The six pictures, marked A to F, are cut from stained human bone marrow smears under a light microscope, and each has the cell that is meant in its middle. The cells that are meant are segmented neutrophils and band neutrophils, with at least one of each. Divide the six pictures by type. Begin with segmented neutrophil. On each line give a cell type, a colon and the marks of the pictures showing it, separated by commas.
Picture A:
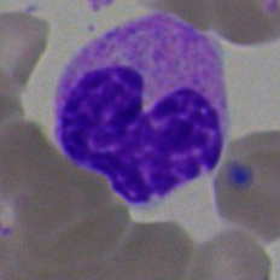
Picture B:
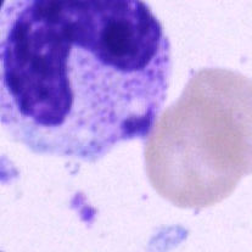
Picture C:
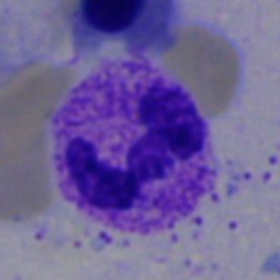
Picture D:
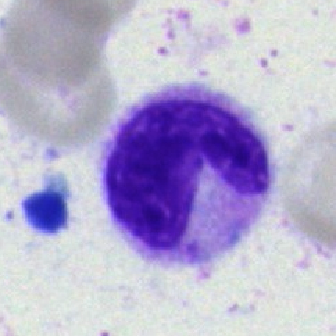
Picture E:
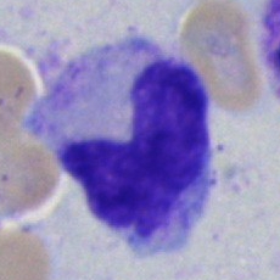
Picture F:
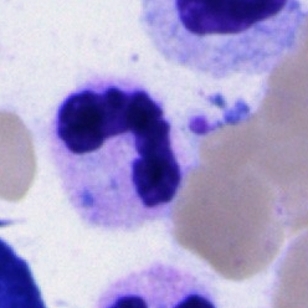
segmented neutrophil: C, F
band neutrophil: A, B, D, E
